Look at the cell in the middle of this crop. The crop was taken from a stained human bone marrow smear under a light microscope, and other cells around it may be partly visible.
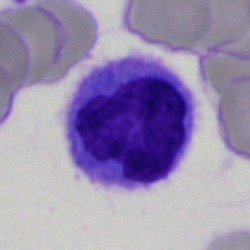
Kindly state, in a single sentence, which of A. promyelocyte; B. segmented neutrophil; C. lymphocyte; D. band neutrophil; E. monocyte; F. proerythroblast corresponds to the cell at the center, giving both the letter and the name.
Since the middle cell is a monocyte, option E is the right one.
